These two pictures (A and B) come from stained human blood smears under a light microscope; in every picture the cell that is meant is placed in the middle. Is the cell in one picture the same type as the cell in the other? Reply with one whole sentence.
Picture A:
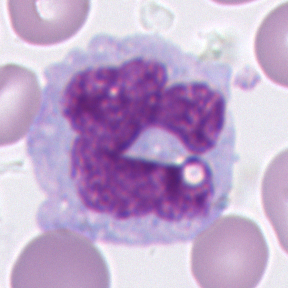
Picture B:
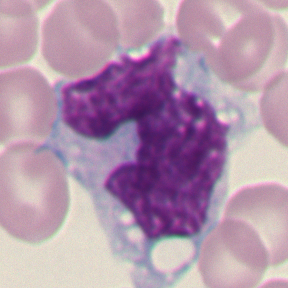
Yes, both cells are monocytes.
